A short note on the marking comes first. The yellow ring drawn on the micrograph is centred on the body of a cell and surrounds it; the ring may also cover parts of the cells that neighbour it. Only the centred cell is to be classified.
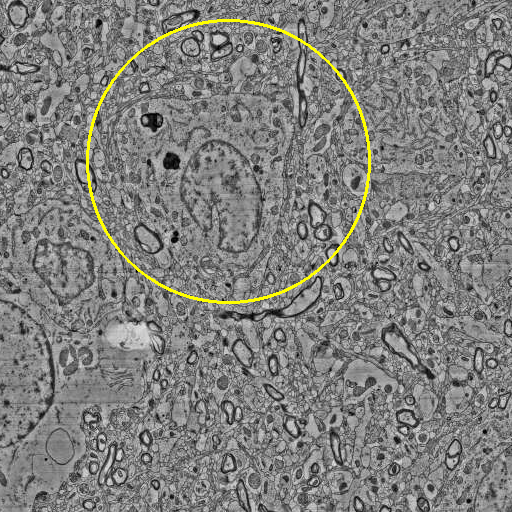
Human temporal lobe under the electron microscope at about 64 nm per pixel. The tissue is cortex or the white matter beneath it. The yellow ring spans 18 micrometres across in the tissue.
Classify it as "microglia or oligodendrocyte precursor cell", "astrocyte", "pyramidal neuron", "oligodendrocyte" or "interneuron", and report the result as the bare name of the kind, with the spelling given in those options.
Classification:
pyramidal neuron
